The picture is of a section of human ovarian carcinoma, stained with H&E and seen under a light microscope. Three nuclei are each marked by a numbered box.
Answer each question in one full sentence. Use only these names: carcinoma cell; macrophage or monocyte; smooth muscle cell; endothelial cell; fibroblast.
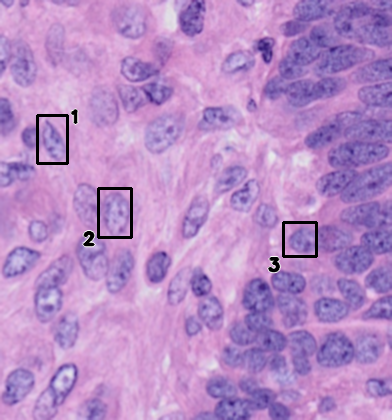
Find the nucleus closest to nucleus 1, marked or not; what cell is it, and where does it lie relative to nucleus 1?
The closest nucleus belongs to a macrophage or monocyte and sits to the left of nucleus 1.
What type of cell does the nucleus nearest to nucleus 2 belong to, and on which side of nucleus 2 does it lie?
It is a fibroblast, whose nucleus lies to the left of nucleus 2.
